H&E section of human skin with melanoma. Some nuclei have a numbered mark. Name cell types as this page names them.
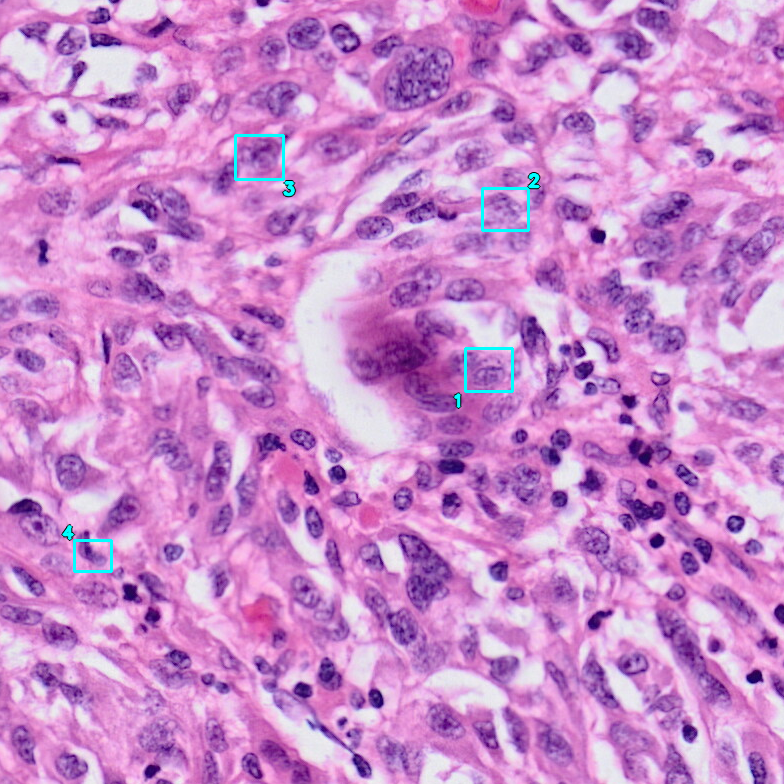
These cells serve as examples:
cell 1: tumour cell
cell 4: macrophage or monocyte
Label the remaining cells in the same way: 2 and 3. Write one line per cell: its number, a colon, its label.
2: tumour cell
3: tumour cell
